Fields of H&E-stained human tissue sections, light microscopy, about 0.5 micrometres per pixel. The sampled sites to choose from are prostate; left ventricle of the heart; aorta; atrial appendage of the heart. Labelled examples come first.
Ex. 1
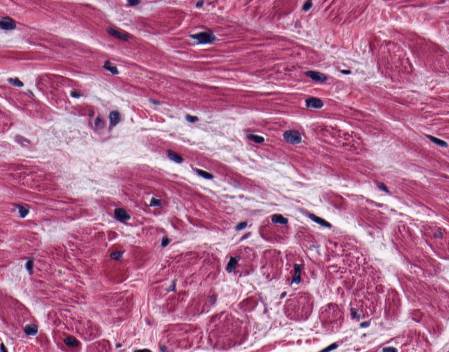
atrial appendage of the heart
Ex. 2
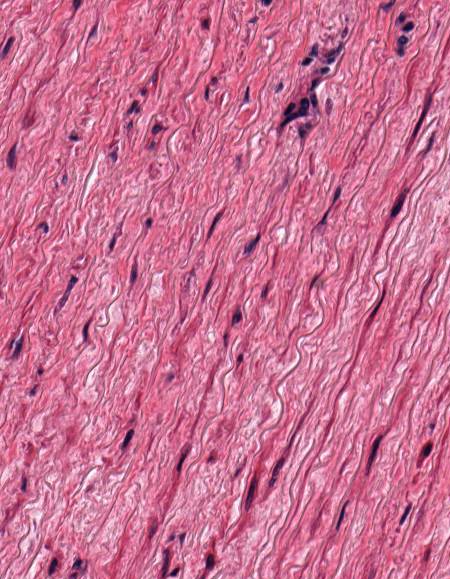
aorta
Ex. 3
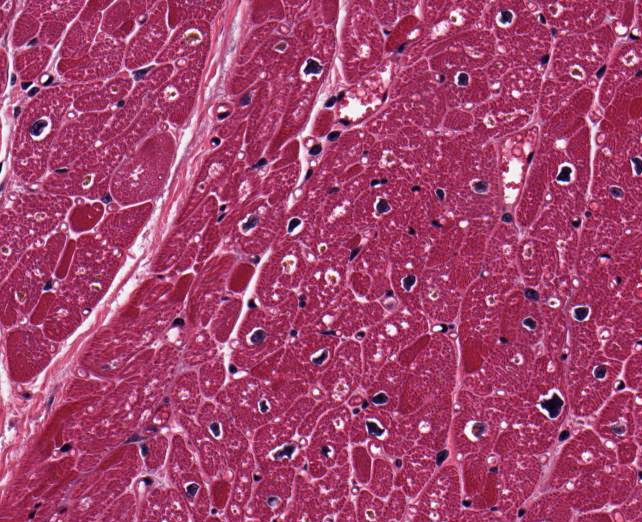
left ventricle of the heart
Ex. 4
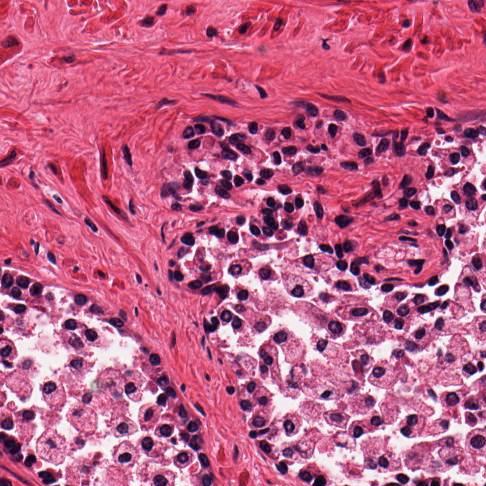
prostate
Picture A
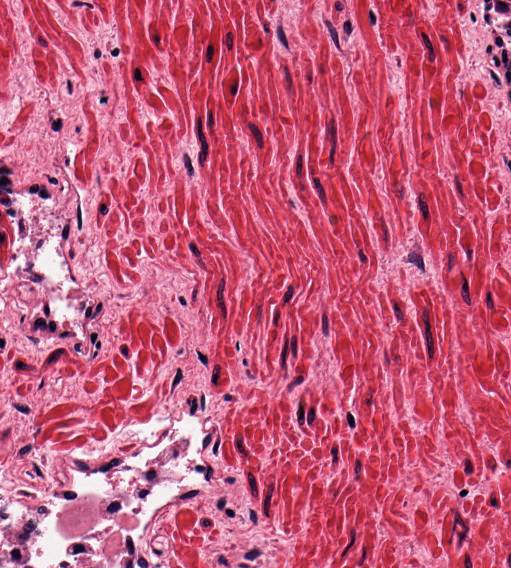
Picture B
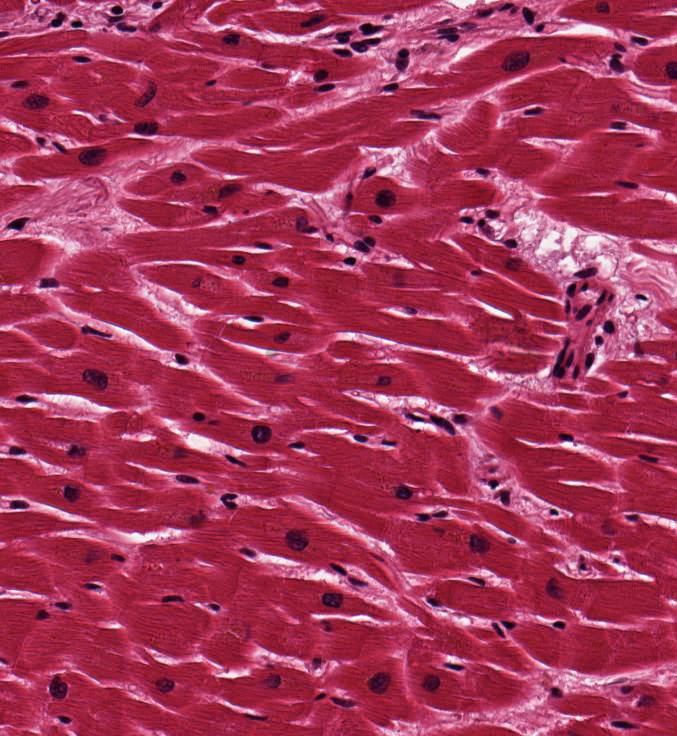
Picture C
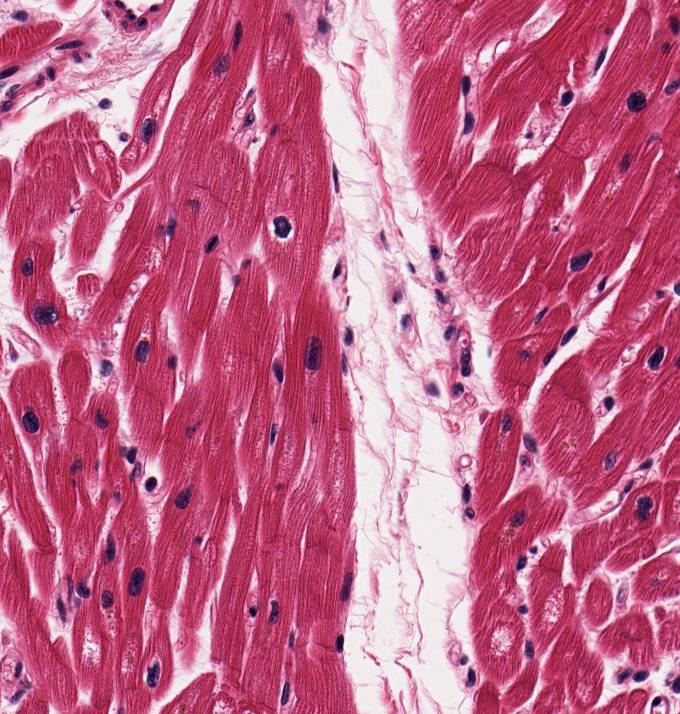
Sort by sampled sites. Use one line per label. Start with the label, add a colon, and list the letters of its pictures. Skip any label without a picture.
prostate: A
left ventricle of the heart: B, C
